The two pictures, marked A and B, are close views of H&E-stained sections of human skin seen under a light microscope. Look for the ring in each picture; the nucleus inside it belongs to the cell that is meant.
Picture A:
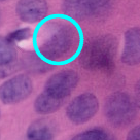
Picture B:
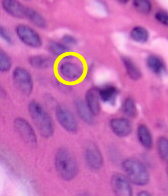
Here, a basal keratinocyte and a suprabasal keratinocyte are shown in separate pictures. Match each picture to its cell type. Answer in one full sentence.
Picture A is of a suprabasal keratinocyte, and picture B is of a basal keratinocyte.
